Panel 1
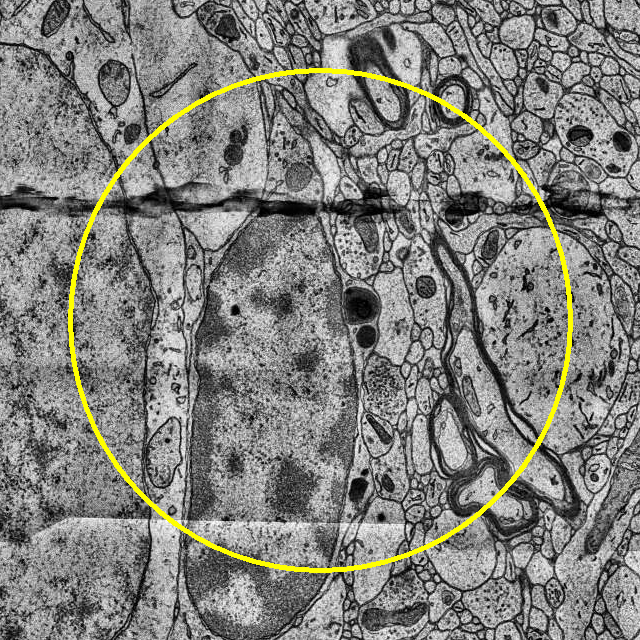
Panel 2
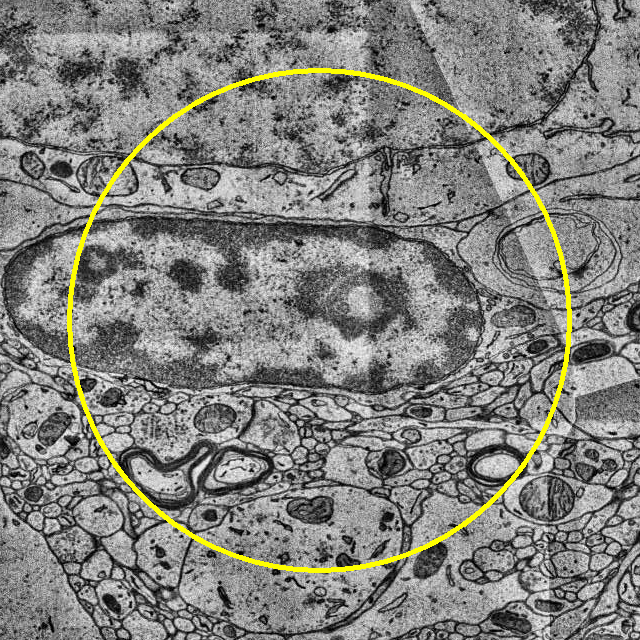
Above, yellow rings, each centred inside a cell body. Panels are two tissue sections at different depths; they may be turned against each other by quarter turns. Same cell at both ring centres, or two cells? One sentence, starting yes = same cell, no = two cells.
Yes, the two rings refer to one cell in the tissue.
